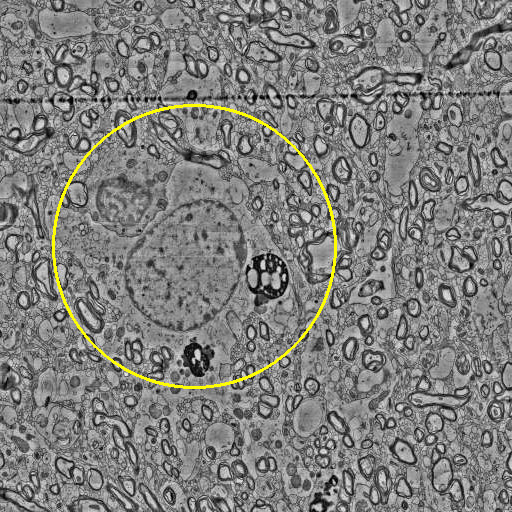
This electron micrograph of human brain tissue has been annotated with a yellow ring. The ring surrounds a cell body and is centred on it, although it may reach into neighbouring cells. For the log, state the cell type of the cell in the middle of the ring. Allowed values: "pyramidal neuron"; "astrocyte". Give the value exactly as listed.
astrocyte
